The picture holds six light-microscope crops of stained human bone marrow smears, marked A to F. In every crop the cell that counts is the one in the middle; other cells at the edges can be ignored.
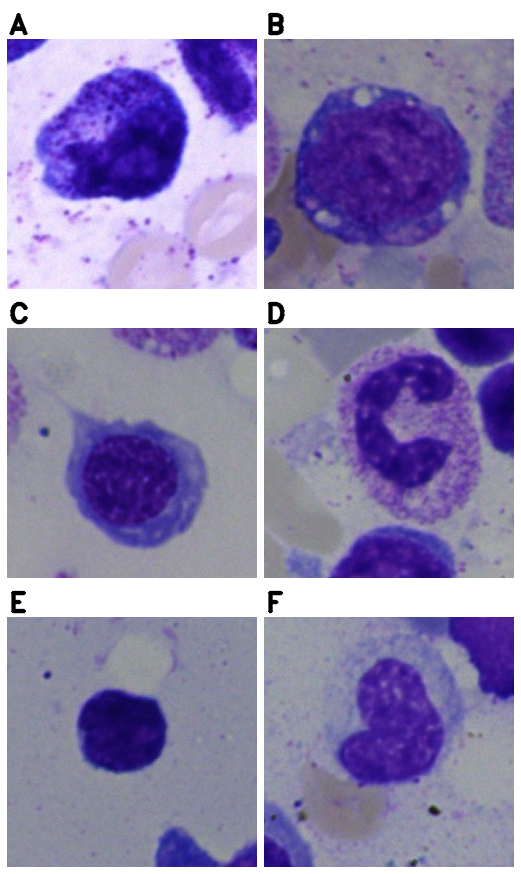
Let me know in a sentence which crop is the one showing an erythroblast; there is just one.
Selected crop: C, which is the one that shows an erythroblast.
